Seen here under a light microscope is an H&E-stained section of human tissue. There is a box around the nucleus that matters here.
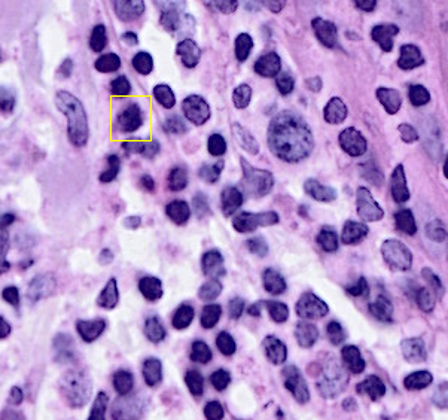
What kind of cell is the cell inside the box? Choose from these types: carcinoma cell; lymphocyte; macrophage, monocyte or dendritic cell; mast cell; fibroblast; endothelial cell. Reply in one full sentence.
As classified here, the cell inside the box is a lymphocyte.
